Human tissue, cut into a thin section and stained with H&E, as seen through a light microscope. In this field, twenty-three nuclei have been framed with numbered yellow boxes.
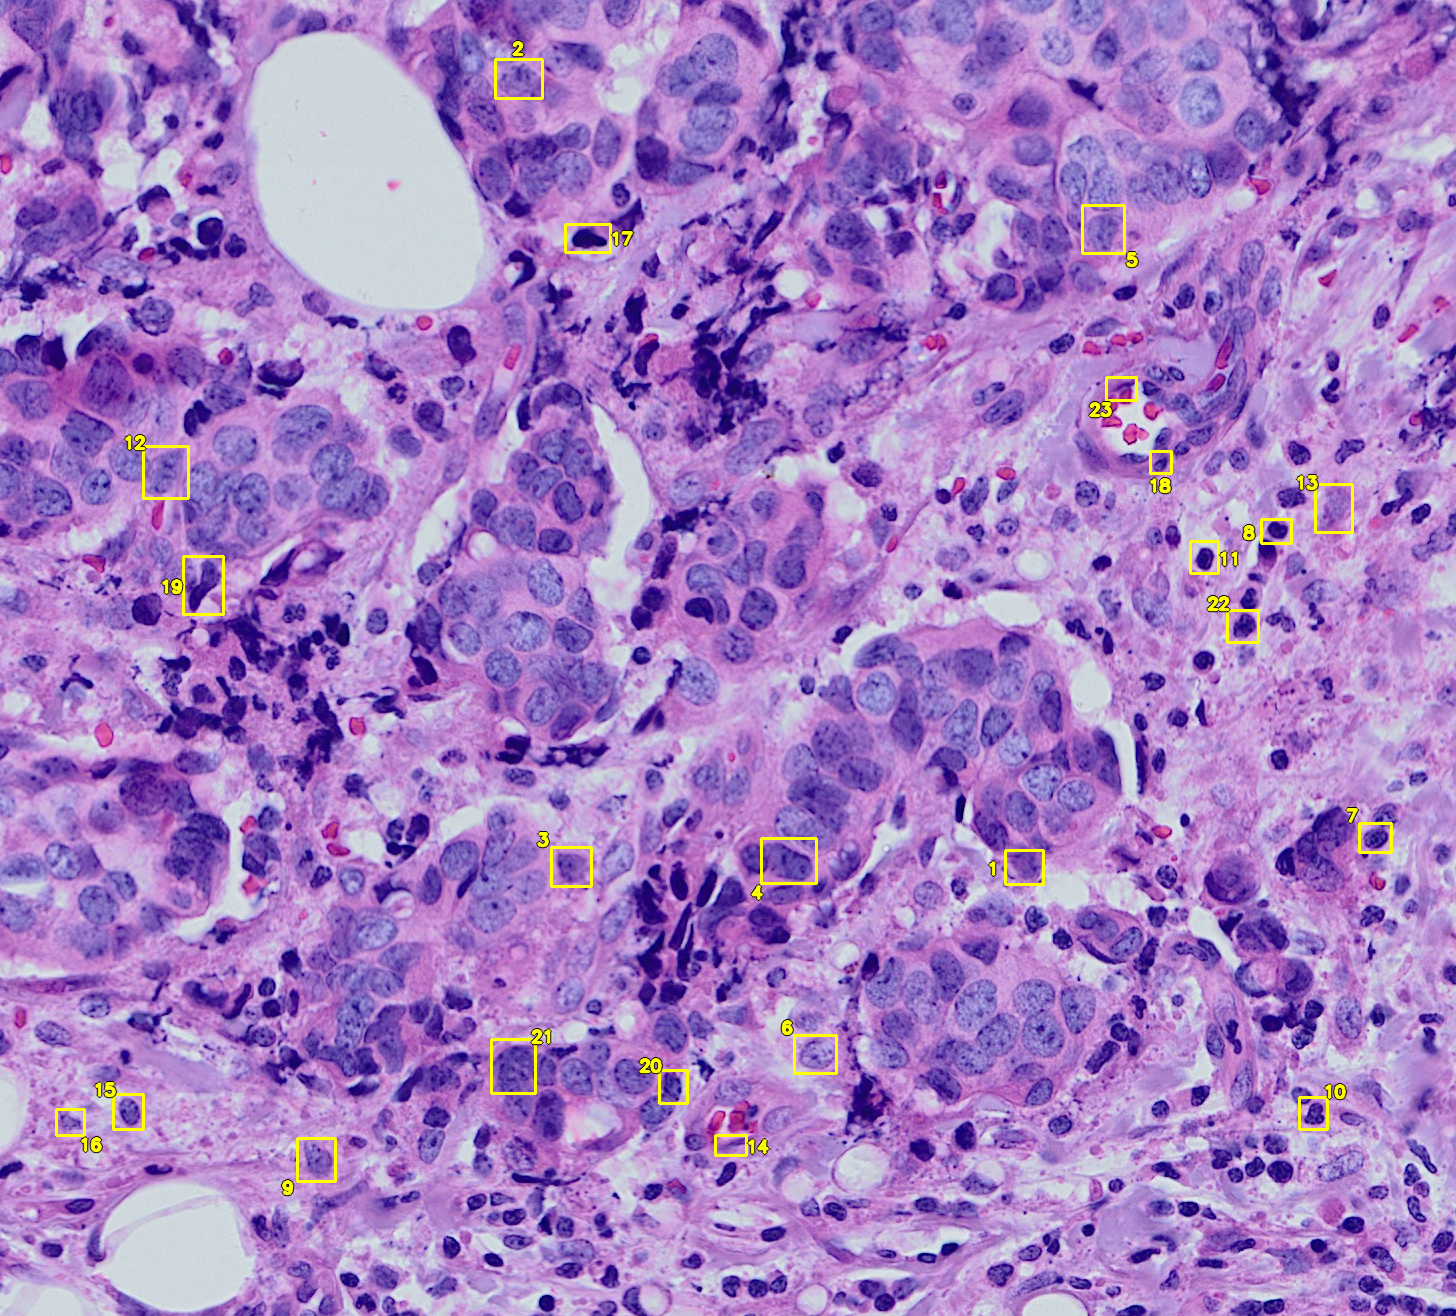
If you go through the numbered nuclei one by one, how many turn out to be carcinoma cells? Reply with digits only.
10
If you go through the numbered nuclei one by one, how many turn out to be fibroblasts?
1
